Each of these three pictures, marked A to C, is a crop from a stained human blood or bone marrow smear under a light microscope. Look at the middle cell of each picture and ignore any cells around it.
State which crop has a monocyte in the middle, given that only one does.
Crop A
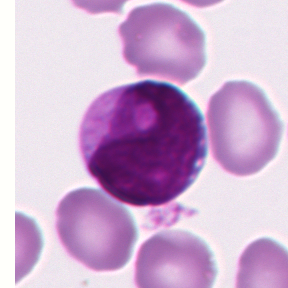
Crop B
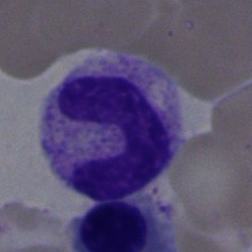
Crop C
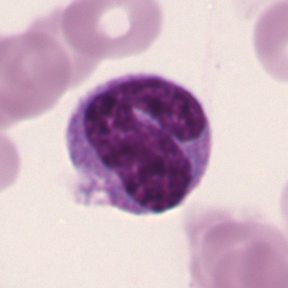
C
